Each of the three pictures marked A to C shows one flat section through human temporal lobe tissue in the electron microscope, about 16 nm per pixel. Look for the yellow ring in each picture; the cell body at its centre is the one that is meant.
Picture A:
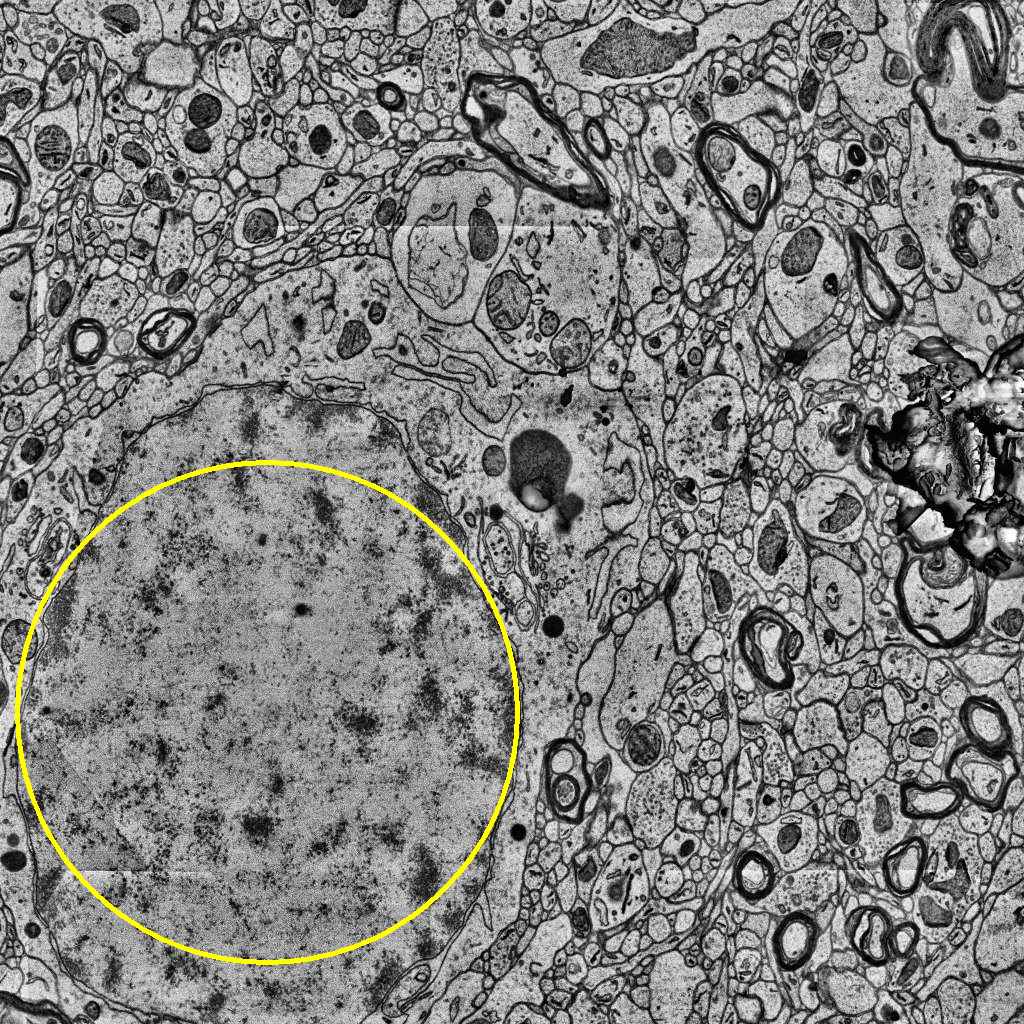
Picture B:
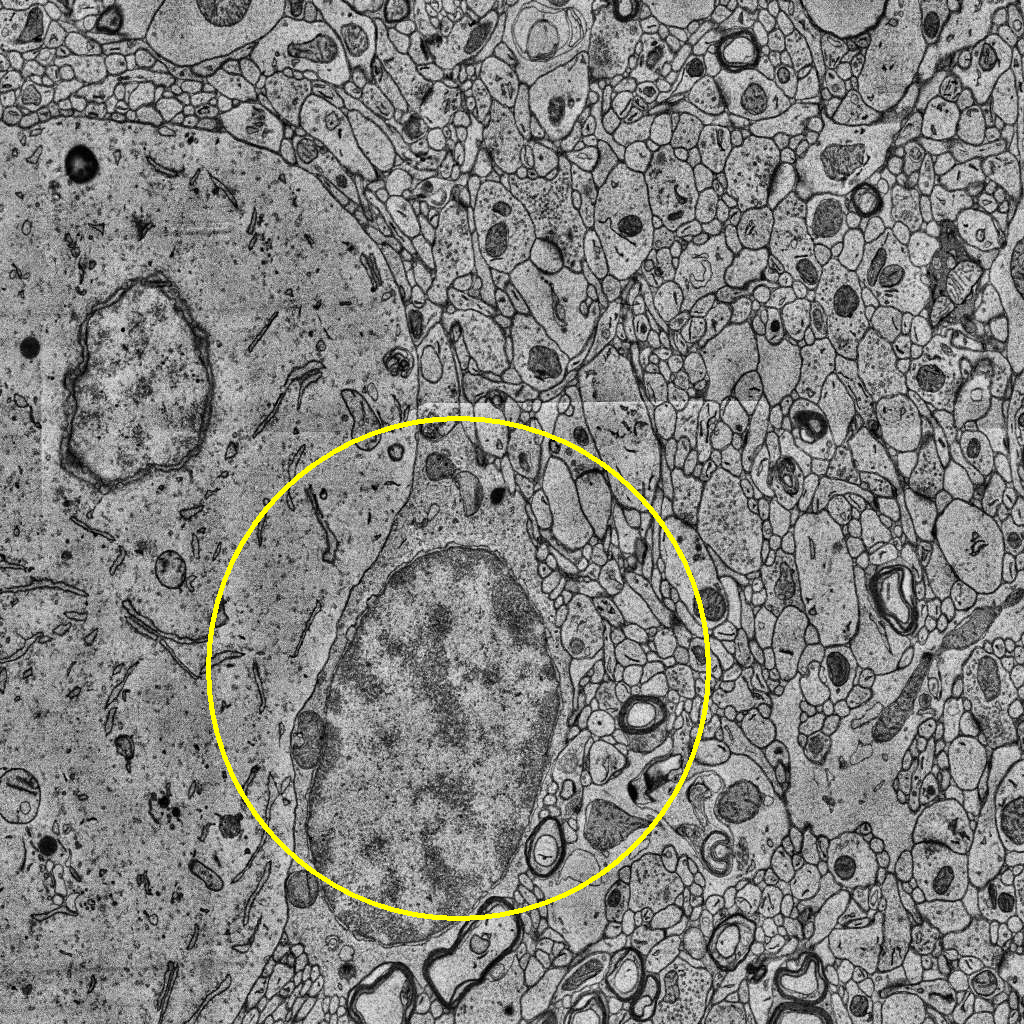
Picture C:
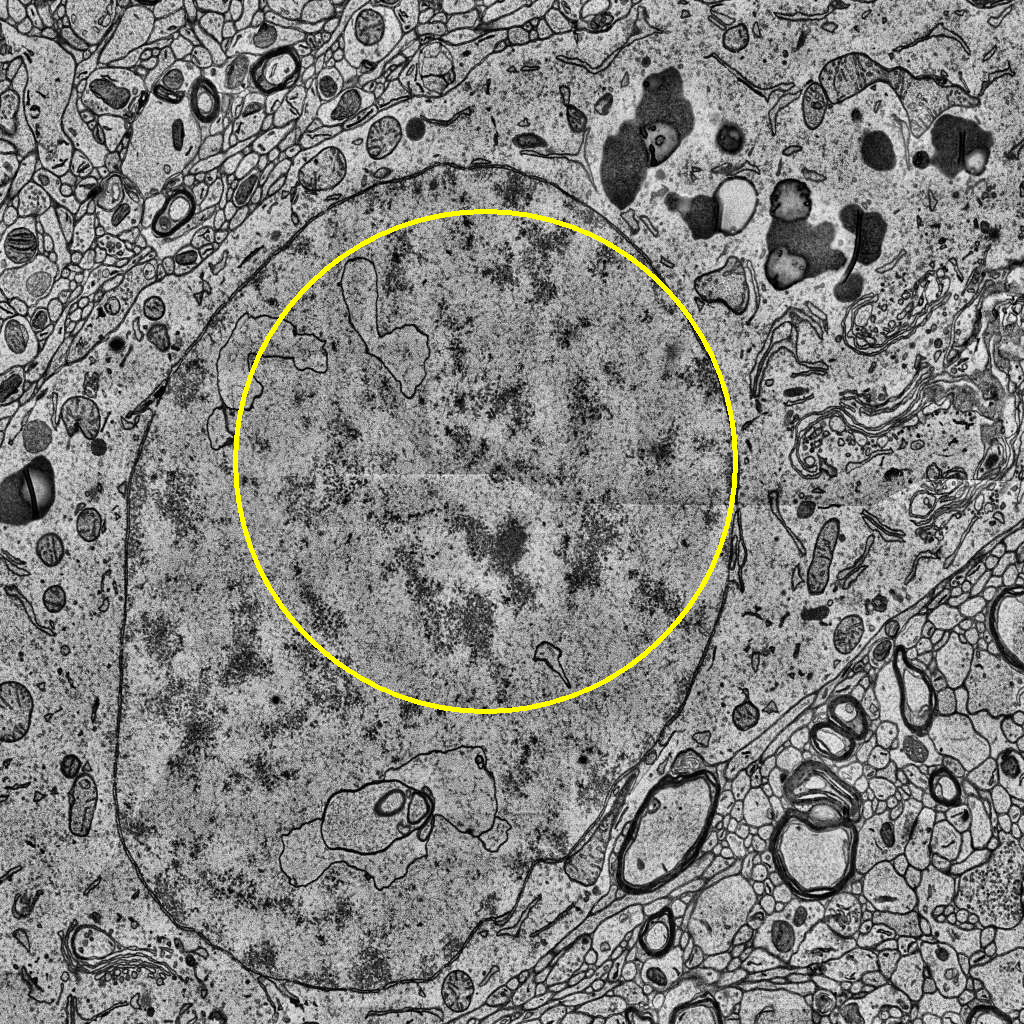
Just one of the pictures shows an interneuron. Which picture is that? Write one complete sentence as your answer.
It is picture A that shows the interneuron.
